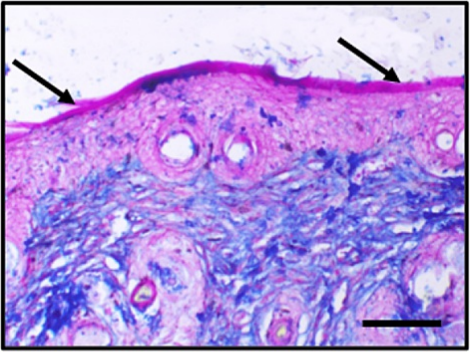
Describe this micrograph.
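Skin with a thin epidermis along the top, topped by a thin magenta surface layer. Below it the dermis consists of loosely woven blue-stained fibres. Round profiles of hair follicles with pink walls lie within the dermis.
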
